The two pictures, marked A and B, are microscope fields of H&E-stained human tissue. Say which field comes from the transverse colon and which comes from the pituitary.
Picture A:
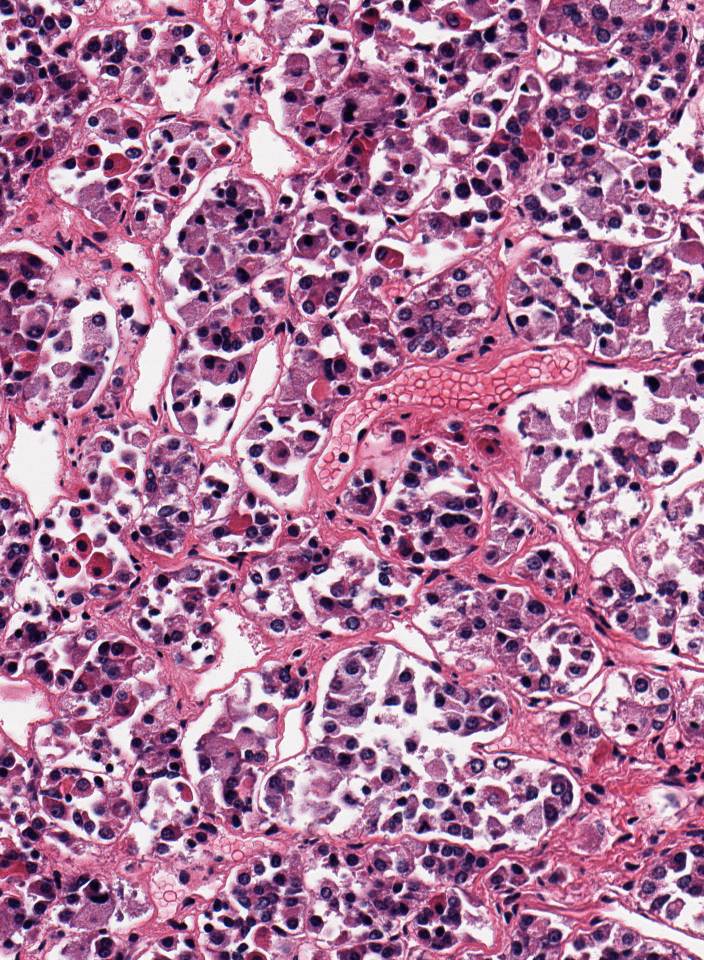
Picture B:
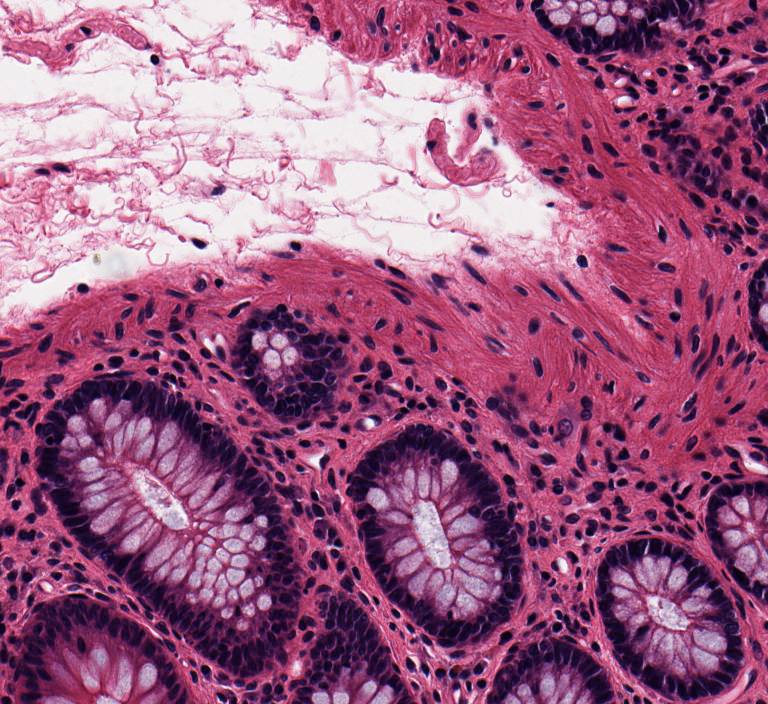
A: pituitary
B: transverse colon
